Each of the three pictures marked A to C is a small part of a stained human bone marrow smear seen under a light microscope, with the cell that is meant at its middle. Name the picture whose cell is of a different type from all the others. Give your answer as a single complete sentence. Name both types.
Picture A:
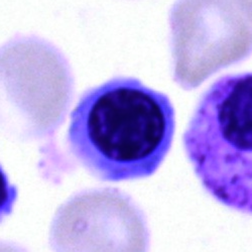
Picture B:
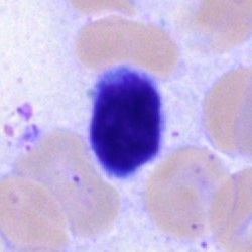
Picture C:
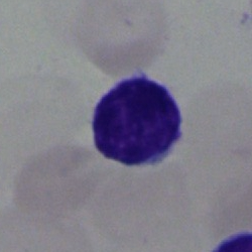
All pictures except A show lymphocytes; picture A shows an erythroblast.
